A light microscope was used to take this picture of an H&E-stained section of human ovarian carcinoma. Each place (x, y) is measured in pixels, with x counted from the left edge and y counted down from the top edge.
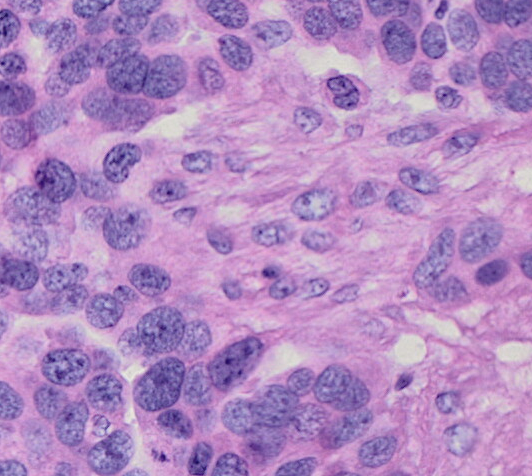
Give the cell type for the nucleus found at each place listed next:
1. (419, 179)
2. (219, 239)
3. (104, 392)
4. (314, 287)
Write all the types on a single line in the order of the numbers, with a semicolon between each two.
fibroblast; fibroblast; carcinoma cell; fibroblast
